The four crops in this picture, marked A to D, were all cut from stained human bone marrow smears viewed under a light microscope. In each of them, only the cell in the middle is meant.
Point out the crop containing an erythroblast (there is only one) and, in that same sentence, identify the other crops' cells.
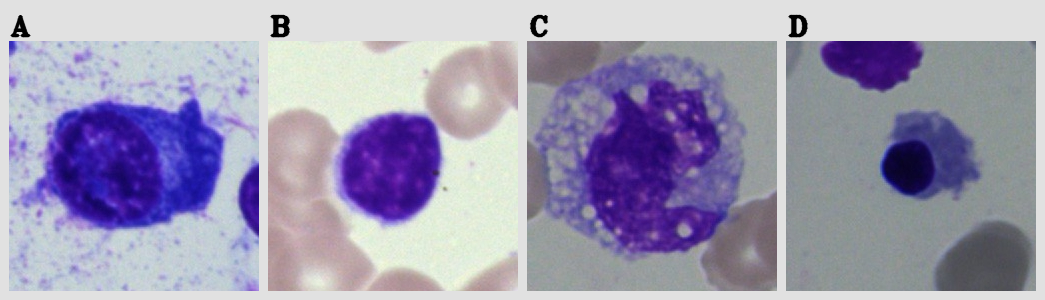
In crop D, the cell at the centre is an erythroblast, while crop A is a plasma cell, crop B is a lymphocyte and crop C is a monocyte.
